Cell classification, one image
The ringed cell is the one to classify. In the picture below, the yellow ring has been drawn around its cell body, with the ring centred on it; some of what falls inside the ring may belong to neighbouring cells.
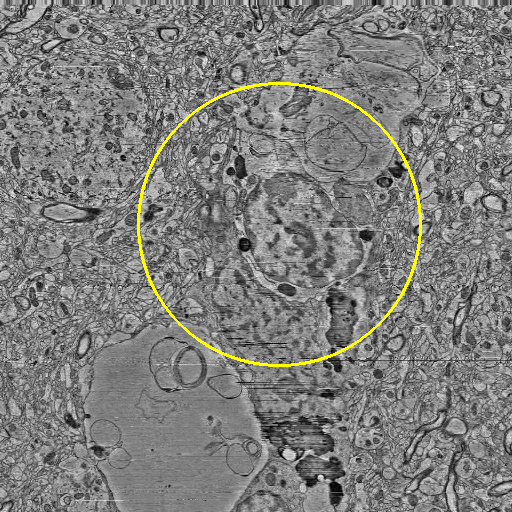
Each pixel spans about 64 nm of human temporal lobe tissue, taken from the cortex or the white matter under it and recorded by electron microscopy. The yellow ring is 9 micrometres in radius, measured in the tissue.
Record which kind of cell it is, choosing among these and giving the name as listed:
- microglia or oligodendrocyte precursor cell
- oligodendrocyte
microglia or oligodendrocyte precursor cell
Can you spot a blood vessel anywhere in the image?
Yes, there is one.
